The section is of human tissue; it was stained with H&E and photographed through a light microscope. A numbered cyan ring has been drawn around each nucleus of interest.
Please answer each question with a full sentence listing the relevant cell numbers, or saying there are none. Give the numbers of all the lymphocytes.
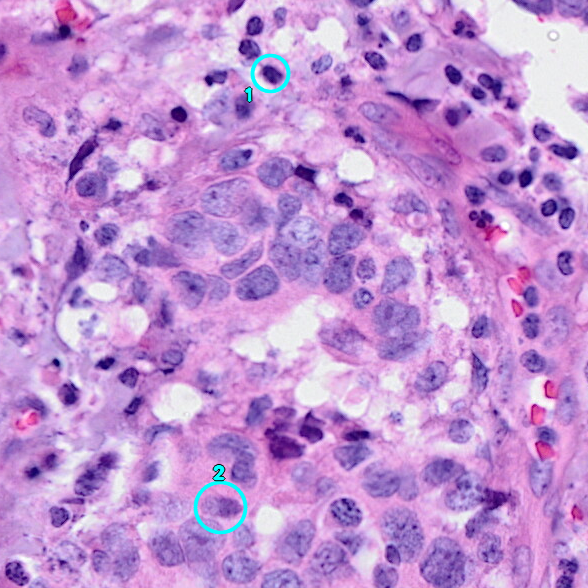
Only number 1 is a lymphocyte; none of the others are.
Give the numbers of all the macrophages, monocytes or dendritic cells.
In this section, none of the numbered cells are macrophages, monocytes or dendritic cells.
